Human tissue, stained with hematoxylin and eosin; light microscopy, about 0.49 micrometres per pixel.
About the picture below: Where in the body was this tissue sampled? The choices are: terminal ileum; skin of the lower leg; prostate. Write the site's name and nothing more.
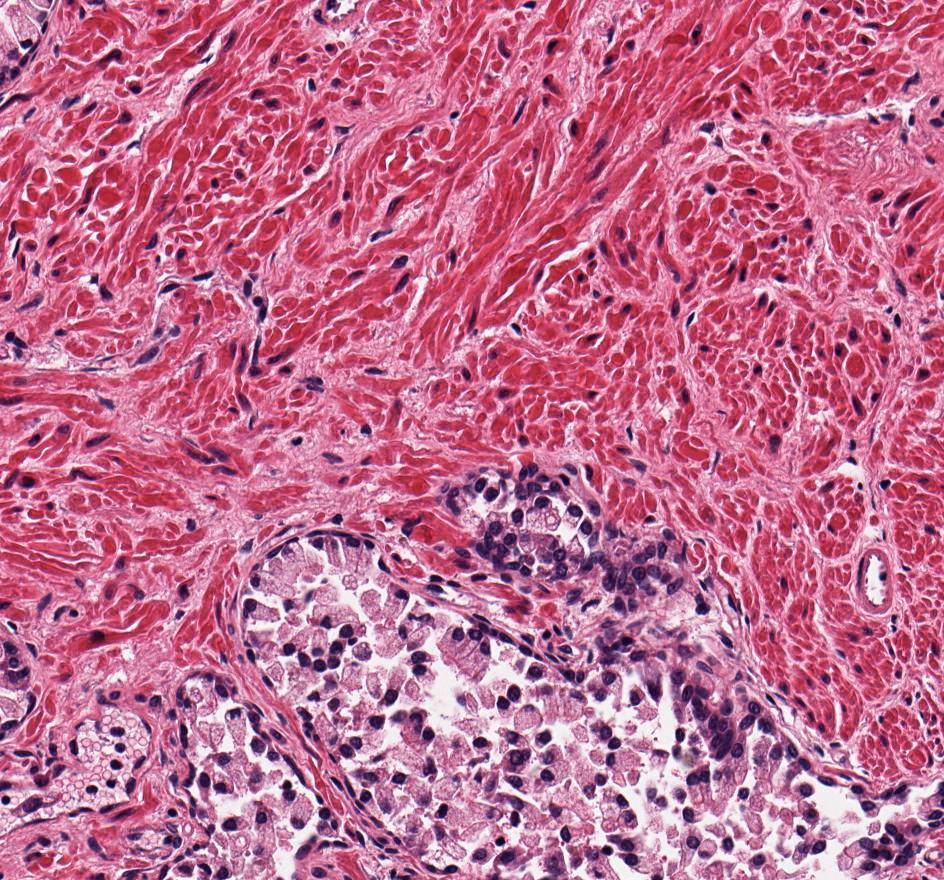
prostate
